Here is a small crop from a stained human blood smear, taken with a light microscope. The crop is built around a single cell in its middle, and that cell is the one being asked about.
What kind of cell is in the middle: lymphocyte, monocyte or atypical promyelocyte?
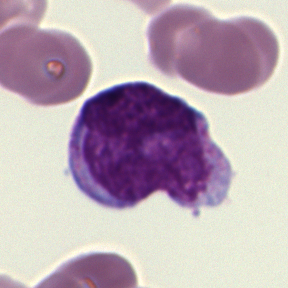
atypical promyelocyte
